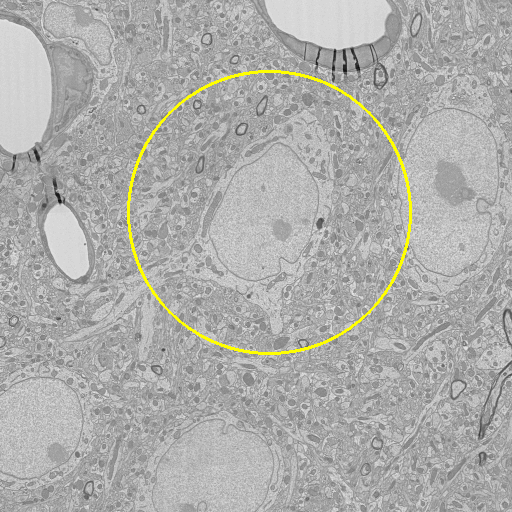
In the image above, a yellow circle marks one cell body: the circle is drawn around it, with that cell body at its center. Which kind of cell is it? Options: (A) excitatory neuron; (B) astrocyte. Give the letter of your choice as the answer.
A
